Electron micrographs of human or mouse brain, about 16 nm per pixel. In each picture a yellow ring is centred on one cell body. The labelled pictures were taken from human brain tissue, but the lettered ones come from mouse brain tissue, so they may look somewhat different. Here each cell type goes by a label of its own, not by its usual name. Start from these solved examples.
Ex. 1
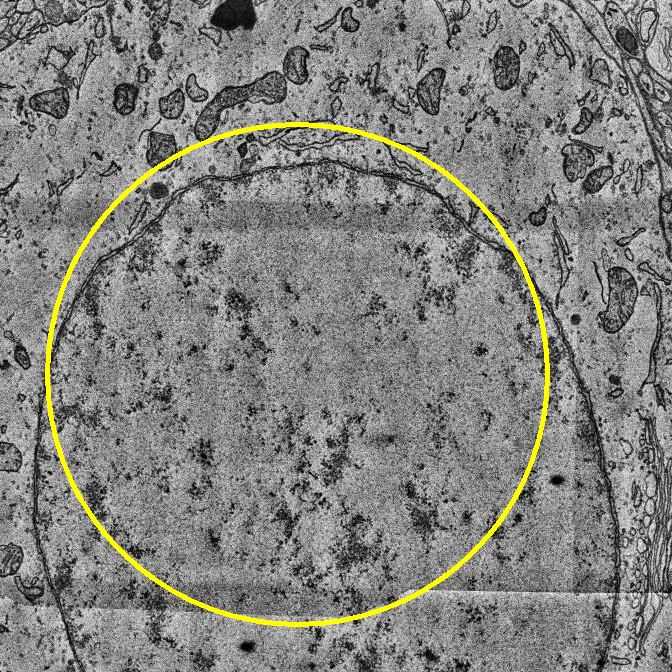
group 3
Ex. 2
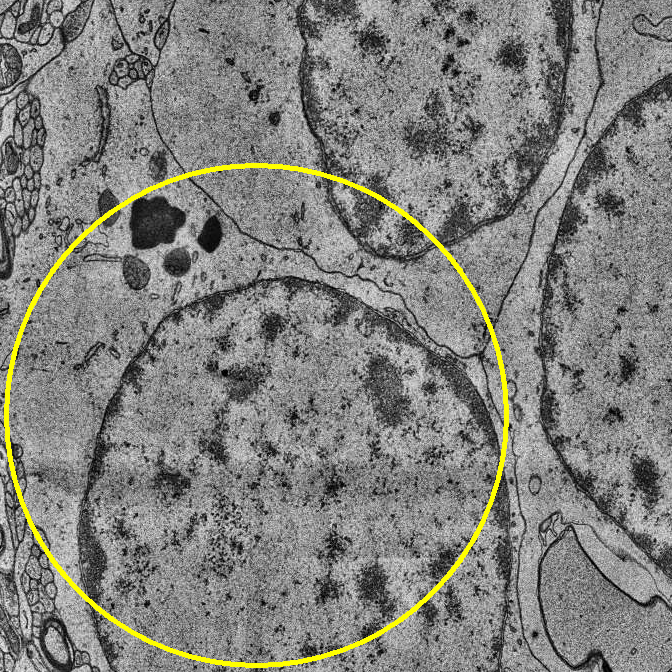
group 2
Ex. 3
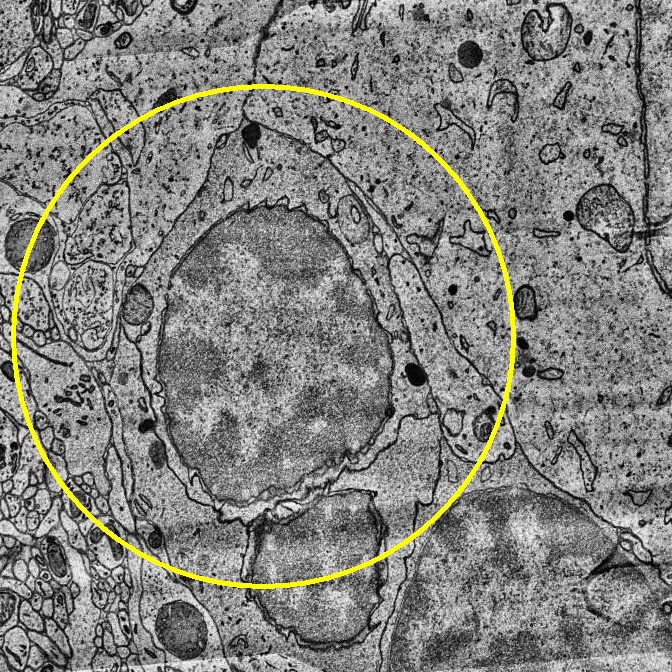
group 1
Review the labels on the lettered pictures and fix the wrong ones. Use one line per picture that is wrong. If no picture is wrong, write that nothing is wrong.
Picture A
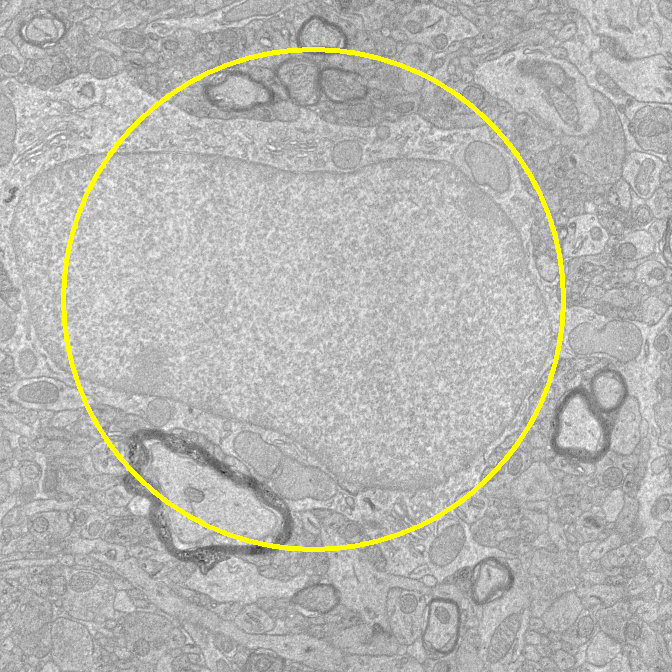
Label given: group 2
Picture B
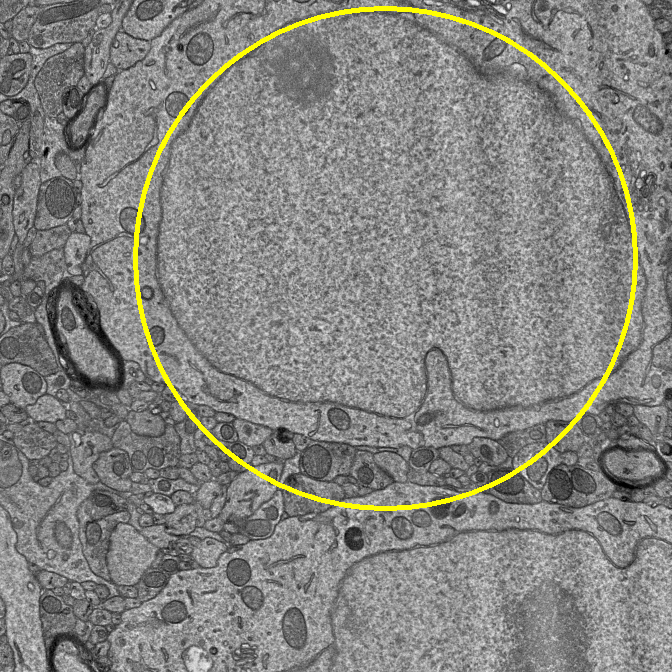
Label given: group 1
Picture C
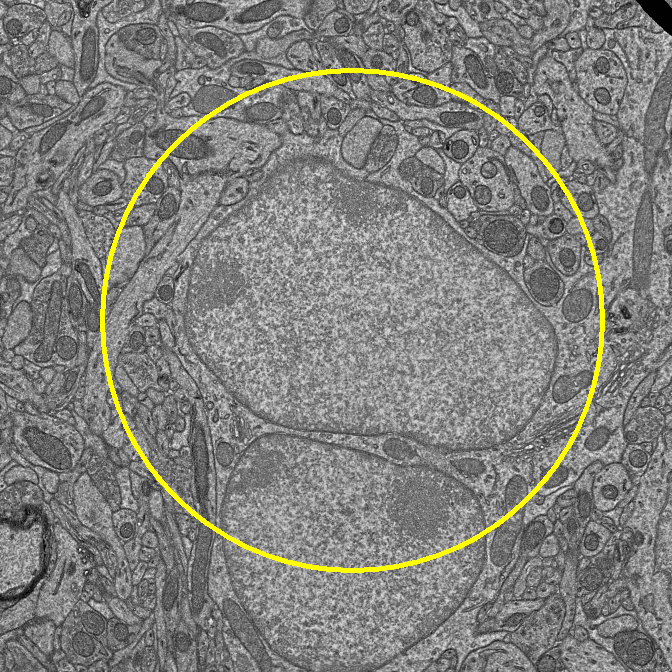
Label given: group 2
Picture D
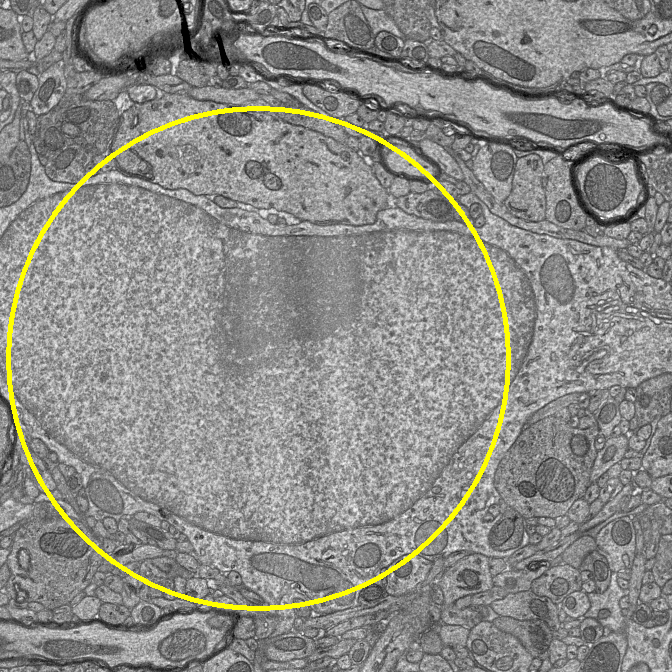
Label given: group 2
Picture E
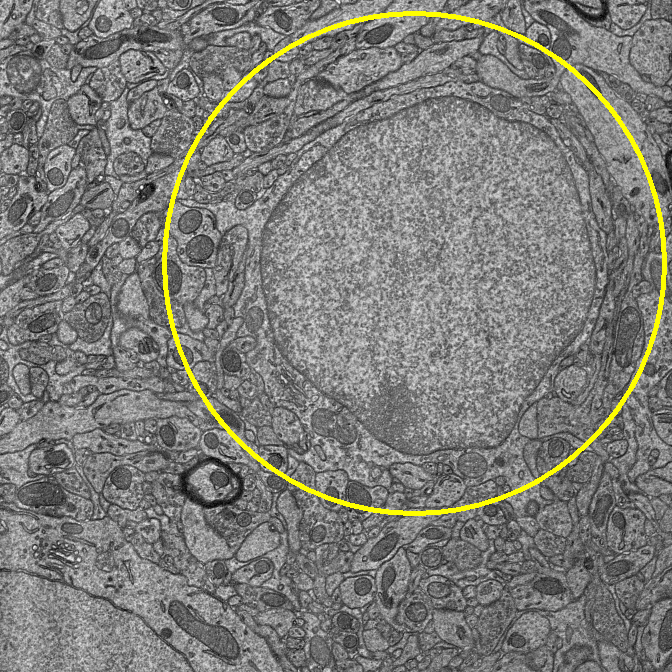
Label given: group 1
B: change group 1 to group 3
E: change group 1 to group 2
